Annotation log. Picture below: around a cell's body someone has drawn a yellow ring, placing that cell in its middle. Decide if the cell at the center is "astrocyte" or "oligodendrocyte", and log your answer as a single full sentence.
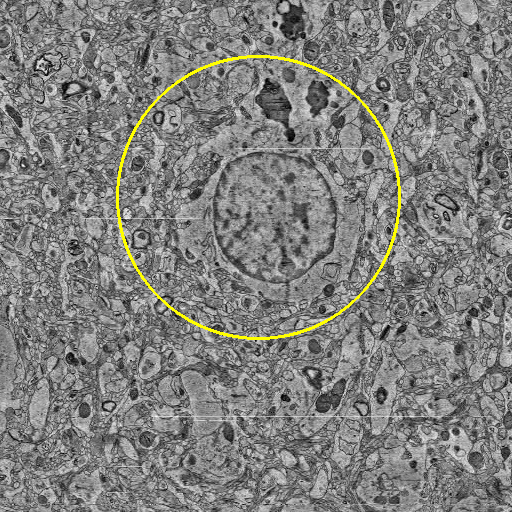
My entry records an astrocyte as the cell sitting at the center of the yellow ring.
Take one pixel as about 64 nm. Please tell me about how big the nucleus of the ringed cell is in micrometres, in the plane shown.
The nucleus is approximately 8 micrometers across in this plane.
